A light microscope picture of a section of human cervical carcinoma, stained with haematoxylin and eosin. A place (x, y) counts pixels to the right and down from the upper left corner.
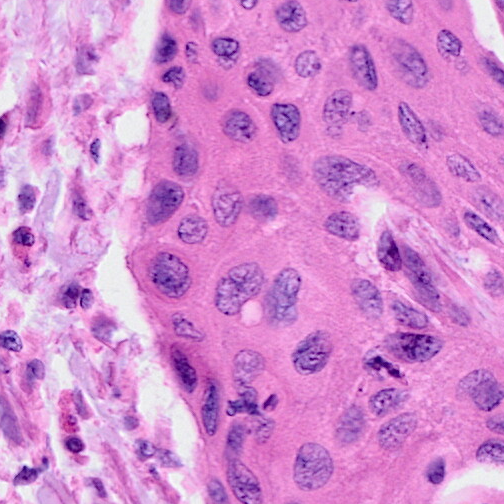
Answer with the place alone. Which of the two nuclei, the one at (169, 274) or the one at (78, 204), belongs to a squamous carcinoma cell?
(169, 274)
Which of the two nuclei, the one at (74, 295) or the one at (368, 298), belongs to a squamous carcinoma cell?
(368, 298)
